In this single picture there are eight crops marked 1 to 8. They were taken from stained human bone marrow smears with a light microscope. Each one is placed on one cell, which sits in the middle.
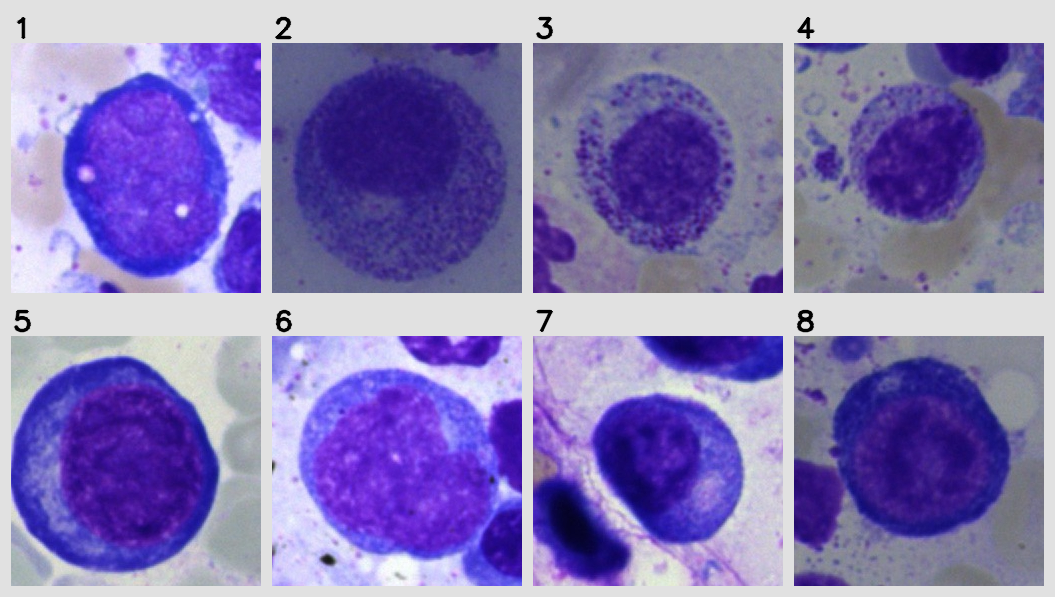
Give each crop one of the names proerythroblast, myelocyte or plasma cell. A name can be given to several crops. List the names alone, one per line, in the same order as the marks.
proerythroblast
myelocyte
myelocyte
myelocyte
proerythroblast
proerythroblast
plasma cell
proerythroblast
